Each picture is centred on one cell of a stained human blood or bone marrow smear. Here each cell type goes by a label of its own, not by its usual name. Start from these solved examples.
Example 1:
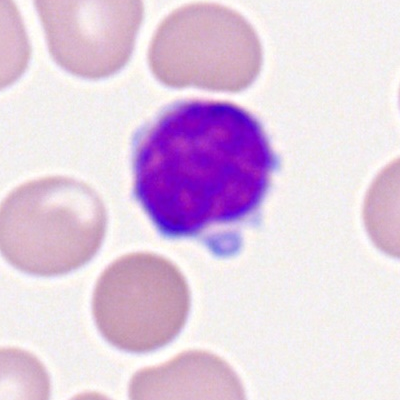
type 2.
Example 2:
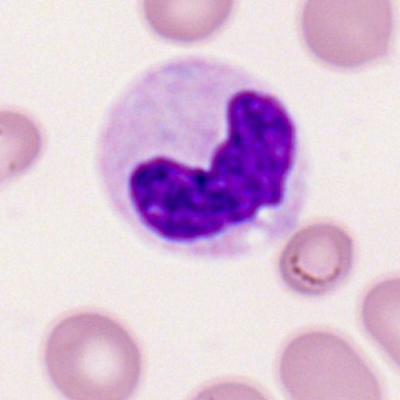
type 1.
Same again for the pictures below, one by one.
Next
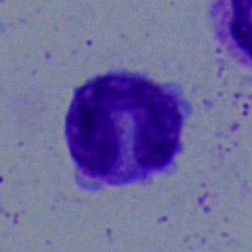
type 1.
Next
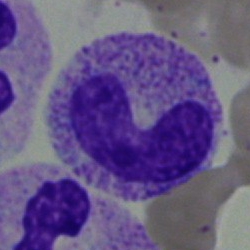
type 1.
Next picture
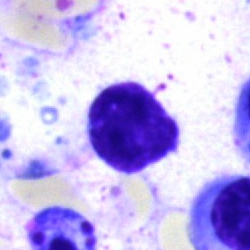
type 2.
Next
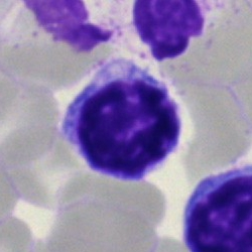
type 2.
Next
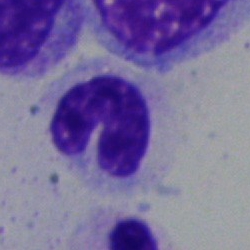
type 1.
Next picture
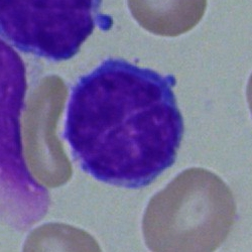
type 2.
